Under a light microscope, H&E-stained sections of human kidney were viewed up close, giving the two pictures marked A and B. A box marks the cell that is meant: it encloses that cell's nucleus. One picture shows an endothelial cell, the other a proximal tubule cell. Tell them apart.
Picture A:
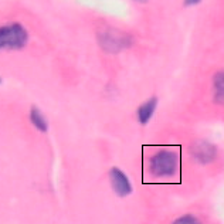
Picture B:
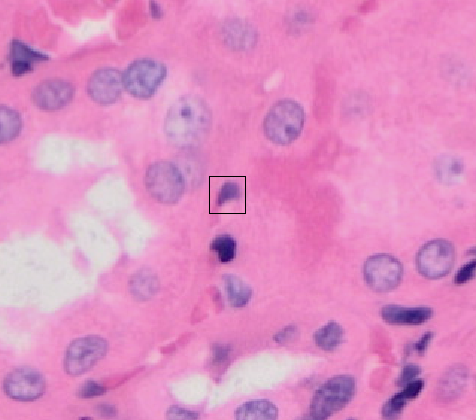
A: proximal tubule cell
B: endothelial cell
